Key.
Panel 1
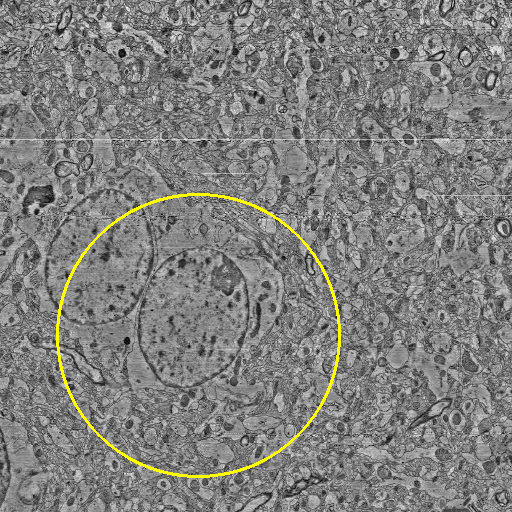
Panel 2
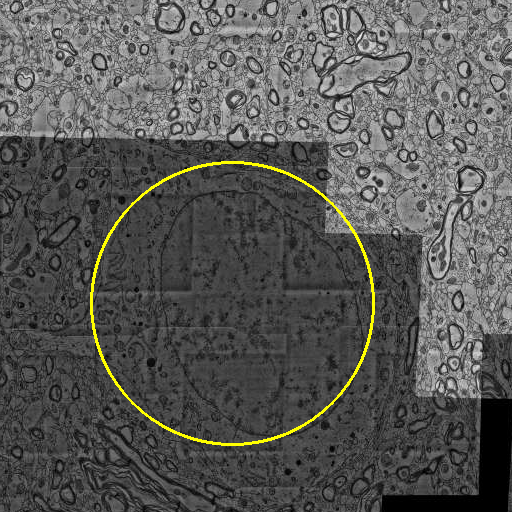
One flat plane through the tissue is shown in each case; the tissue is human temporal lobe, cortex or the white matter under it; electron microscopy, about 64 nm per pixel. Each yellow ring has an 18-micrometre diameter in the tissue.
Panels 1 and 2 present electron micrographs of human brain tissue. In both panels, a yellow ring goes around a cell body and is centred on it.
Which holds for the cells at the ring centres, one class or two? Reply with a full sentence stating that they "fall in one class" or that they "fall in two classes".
Taken together, the ring-centre cells of the two panels fall in two classes.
